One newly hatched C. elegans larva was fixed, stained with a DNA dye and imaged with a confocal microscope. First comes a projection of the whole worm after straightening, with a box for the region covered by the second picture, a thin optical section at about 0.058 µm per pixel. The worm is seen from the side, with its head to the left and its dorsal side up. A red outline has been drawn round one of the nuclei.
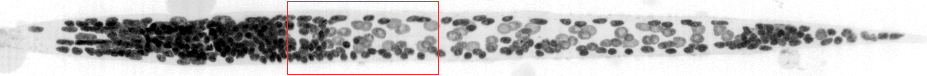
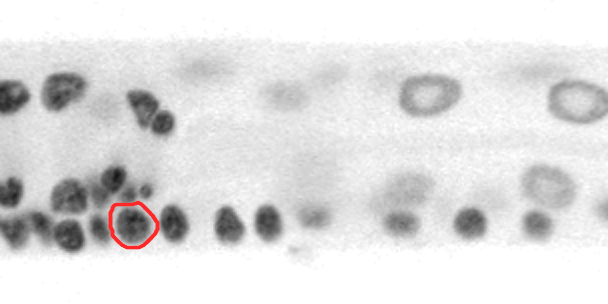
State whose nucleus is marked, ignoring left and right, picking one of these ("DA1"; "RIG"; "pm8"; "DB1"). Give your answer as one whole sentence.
The cell whose nucleus is marked is RIG, a neuron.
